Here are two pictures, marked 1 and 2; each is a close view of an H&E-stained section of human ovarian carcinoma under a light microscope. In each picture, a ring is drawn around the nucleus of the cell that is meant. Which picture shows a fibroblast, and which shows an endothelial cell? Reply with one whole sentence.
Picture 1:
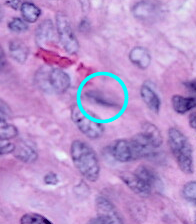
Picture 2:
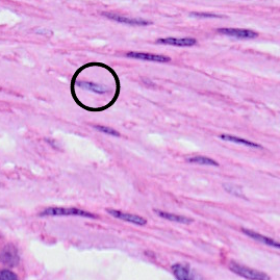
Picture 2 shows a fibroblast, while picture 1 shows an endothelial cell.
